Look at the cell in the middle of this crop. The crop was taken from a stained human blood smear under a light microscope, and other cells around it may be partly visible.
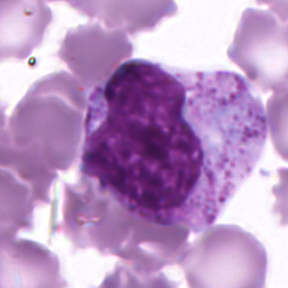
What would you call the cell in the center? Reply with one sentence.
The central cell, amid any neighbouring cells, is a metamyelocyte.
